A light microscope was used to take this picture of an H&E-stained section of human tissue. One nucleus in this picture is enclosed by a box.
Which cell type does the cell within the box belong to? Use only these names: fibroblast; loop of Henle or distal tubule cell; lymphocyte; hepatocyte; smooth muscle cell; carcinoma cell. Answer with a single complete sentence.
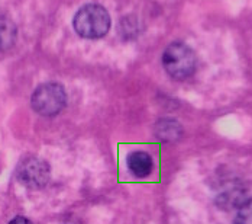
The cell within the box appears to be a lymphocyte.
